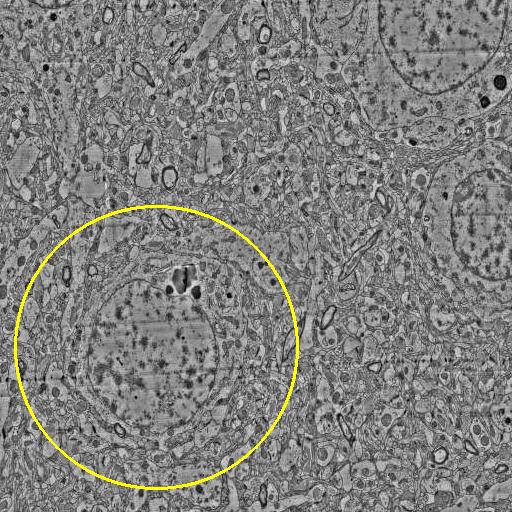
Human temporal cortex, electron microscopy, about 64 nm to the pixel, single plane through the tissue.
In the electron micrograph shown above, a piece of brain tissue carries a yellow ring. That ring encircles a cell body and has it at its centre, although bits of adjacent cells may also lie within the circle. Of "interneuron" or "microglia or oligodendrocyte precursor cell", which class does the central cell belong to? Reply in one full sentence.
The cell body at the centre of the yellow ring belongs to an interneuron.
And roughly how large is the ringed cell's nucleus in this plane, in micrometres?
Approximately 10 micrometres long and 9 micrometres wide, in this plane.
